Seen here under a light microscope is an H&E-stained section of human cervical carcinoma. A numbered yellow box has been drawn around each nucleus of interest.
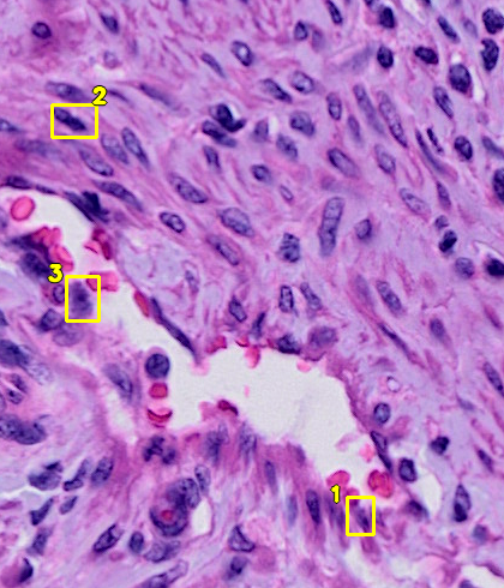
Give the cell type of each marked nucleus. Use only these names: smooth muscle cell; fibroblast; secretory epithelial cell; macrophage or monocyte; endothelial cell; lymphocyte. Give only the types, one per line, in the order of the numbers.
endothelial cell
lymphocyte
endothelial cell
